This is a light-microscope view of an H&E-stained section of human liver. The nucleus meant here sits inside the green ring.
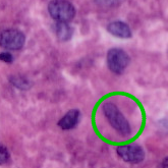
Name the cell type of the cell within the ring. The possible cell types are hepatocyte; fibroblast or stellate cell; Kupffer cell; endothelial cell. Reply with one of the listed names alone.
Kupffer cell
